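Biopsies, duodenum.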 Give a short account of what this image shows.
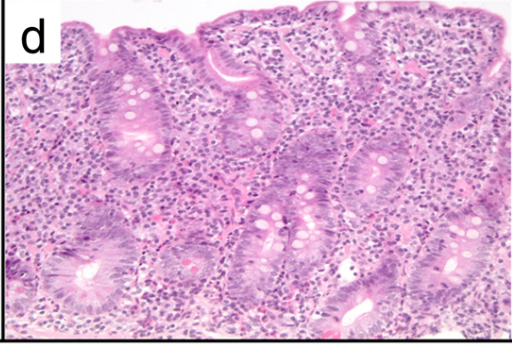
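This is small-intestinal mucosa in which the lamina propria is crowded with a lymphoid infiltrate of small lymphocytes. Between the crypts, the space that normally holds loose connective tissue with a few scattered cells is packed with small round dark-purple nuclei and scant cytoplasm. The crypts, cut across and lengthwise, are lined by columnar cells with pale goblet cells showing clear mucin vacuoles, and they appear spaced apart by the dense infiltrate. At the top a surface lining of columnar epithelium runs across, and it looks largely free of crowding by the infiltrating cells.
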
